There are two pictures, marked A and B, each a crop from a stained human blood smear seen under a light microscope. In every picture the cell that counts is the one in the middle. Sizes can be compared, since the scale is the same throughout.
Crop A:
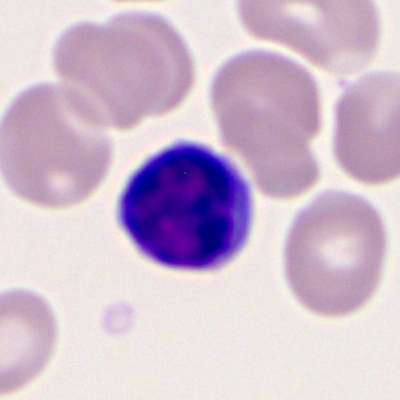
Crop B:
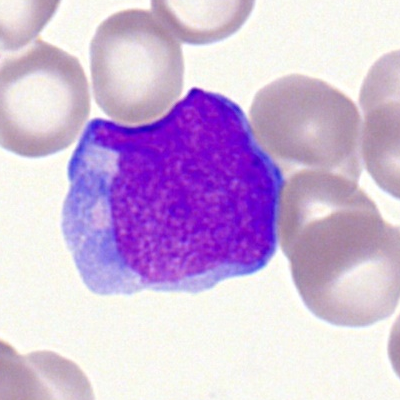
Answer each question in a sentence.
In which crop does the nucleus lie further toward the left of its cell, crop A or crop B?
The nucleus in crop A lies further toward the left of its cell.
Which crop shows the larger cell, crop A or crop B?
The cell in crop B is larger, with about 2.5 times the area of the one in crop A.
